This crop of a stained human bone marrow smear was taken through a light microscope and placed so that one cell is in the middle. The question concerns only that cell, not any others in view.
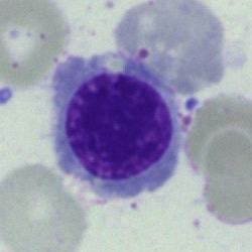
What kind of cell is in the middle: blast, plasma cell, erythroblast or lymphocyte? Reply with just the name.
erythroblast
